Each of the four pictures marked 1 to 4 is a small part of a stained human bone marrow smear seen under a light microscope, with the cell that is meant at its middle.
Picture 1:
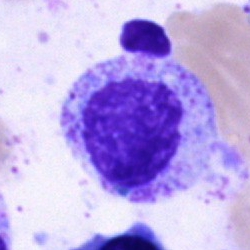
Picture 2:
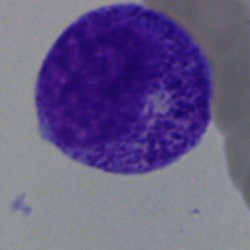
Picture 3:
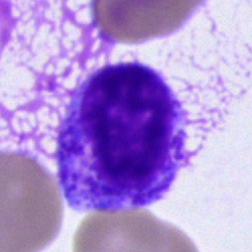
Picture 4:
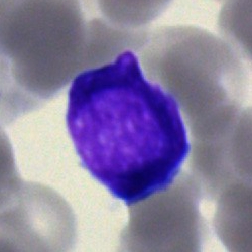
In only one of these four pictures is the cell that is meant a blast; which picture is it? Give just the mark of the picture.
4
